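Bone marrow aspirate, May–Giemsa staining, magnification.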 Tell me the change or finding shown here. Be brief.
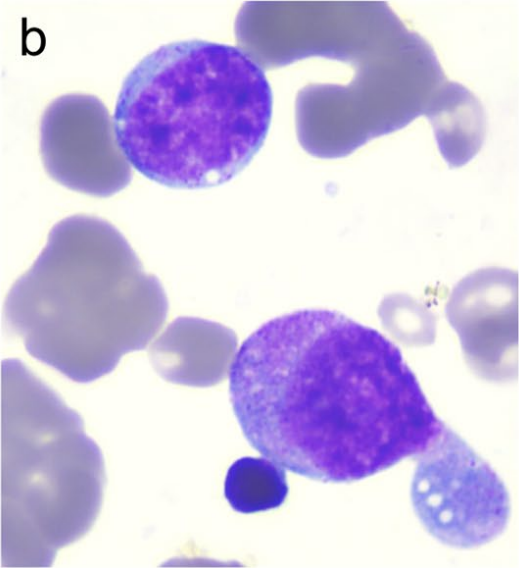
vacuolization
